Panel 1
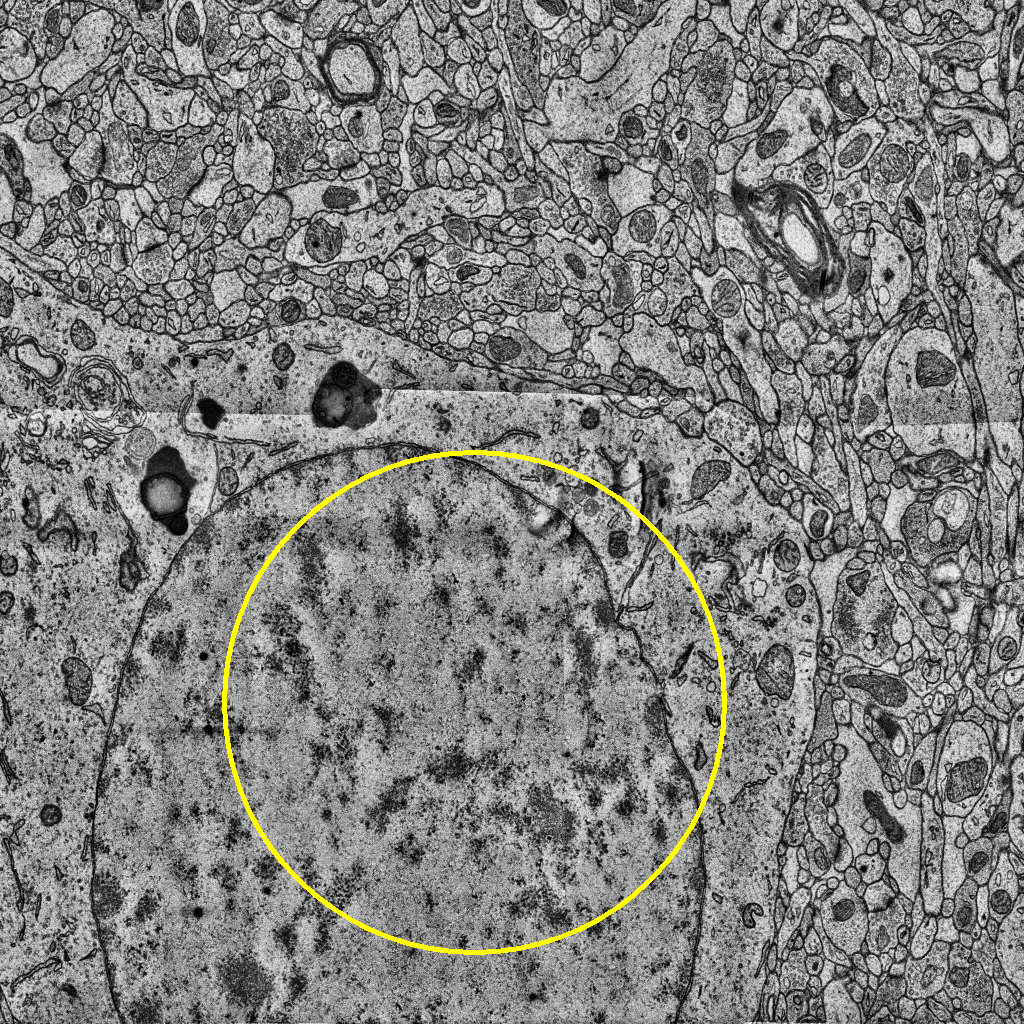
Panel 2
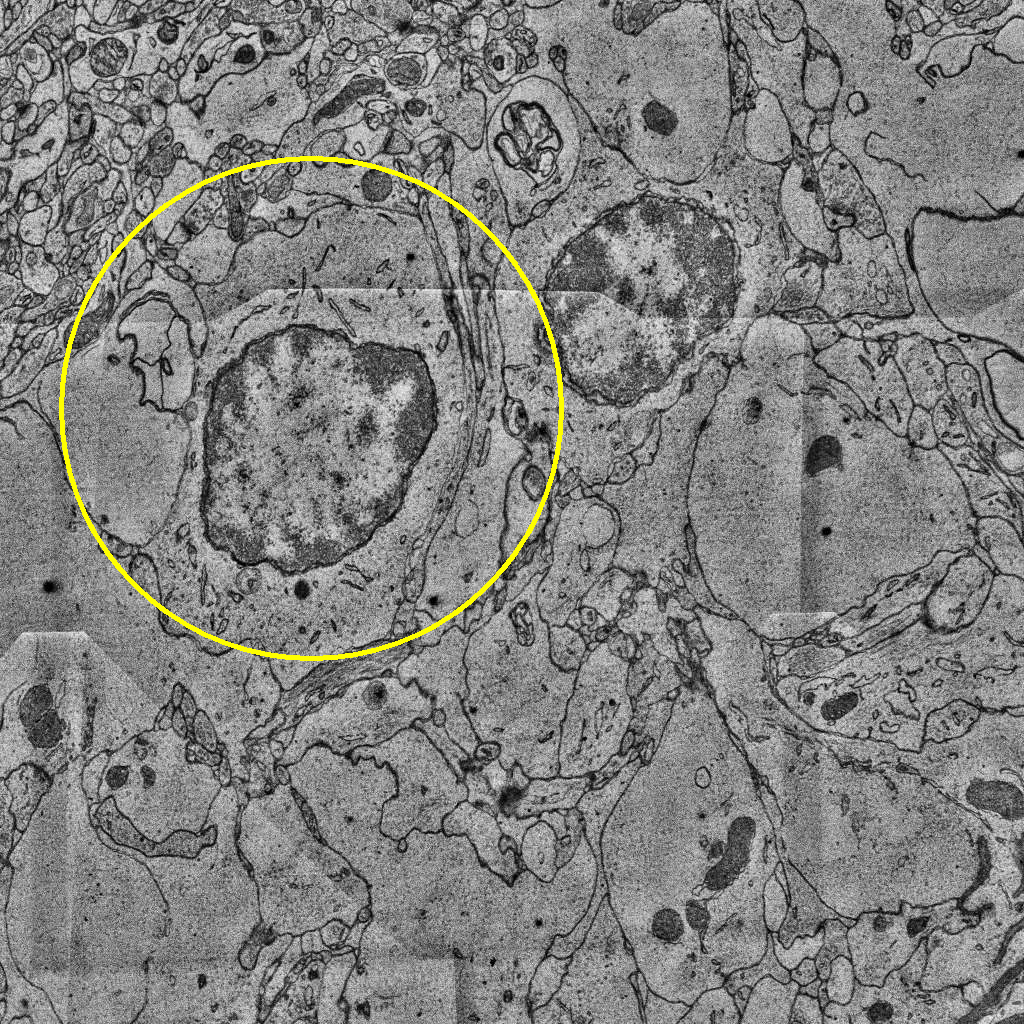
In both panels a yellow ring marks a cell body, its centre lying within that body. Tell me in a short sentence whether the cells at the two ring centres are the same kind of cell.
No, they are two kinds of cell.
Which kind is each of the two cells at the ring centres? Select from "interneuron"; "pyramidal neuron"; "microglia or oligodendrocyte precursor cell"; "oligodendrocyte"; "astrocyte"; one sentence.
The cell in the first picture is a pyramidal neuron, and the cell in the second is a microglial cell or oligodendrocyte precursor cell.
